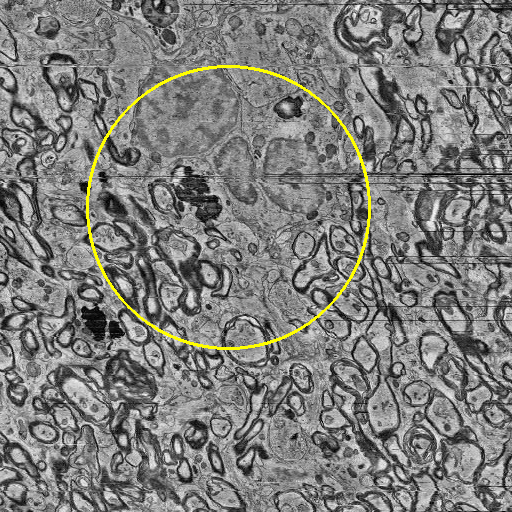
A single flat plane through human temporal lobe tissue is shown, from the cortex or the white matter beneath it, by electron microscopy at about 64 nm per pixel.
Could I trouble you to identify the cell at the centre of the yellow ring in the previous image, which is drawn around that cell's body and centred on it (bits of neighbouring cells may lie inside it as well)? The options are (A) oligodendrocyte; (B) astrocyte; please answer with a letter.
A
